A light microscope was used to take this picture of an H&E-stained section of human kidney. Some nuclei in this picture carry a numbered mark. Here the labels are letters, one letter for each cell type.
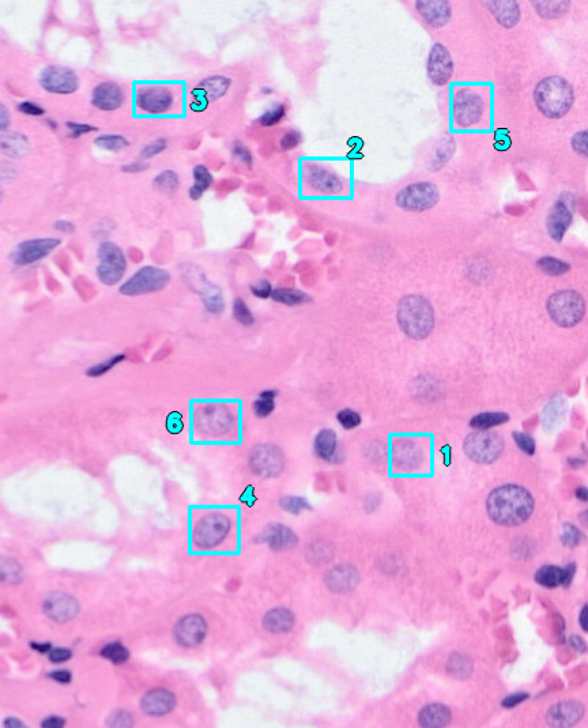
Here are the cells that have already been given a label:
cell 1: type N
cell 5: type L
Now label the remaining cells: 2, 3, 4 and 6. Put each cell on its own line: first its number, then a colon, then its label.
2: type L
3: type L
4: type N
6: type N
